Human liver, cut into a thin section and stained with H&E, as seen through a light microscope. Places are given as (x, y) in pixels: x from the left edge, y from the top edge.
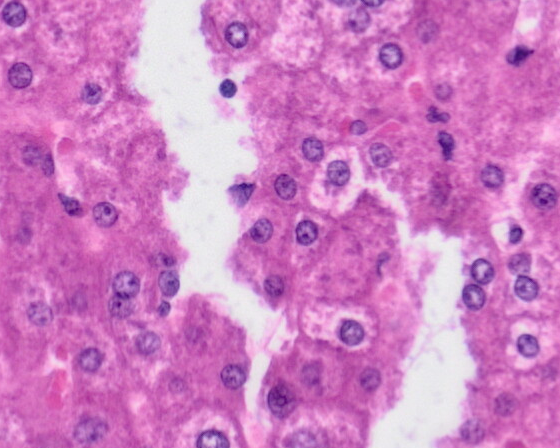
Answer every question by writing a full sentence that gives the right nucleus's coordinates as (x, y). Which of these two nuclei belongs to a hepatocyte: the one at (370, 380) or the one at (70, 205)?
The nucleus at (370, 380) is housed in a hepatocyte.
